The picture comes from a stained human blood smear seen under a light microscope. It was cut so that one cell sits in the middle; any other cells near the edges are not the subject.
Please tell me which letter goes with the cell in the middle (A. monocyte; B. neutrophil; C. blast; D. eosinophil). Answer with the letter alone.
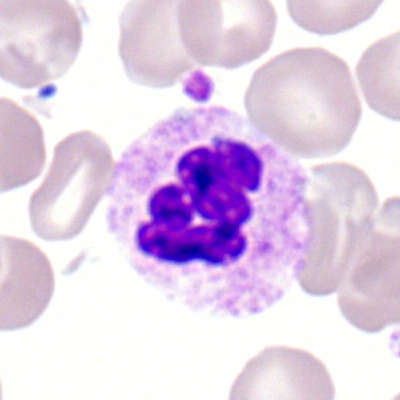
B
